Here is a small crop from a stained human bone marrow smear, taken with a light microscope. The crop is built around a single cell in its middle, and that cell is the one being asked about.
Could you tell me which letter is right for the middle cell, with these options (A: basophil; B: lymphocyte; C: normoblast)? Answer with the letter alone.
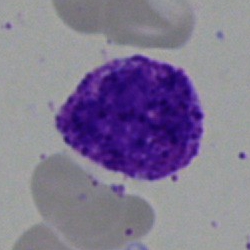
A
